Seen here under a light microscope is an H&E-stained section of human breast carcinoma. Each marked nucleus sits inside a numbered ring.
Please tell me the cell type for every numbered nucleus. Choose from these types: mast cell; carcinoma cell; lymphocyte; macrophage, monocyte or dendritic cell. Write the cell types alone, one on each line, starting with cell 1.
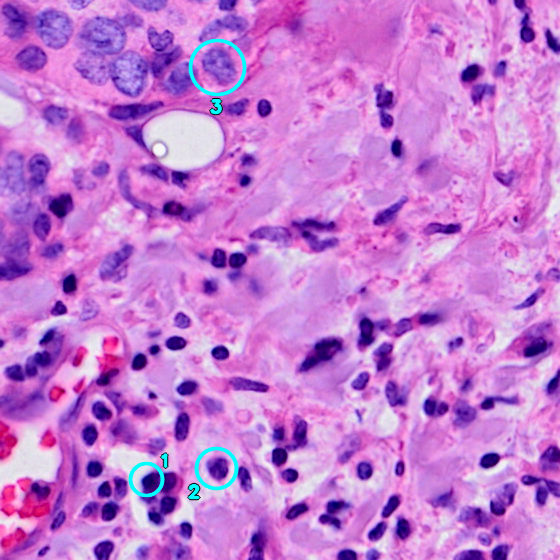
lymphocyte
lymphocyte
carcinoma cell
